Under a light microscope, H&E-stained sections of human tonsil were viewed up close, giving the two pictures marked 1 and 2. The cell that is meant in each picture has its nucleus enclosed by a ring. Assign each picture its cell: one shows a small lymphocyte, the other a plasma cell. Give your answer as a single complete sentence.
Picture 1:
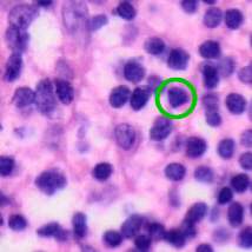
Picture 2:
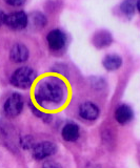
In picture 1 the cell is a small lymphocyte; in picture 2, a plasma cell.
